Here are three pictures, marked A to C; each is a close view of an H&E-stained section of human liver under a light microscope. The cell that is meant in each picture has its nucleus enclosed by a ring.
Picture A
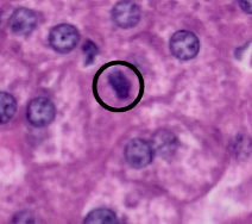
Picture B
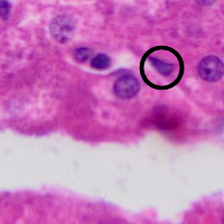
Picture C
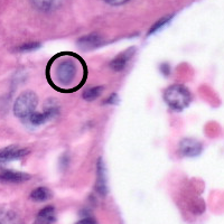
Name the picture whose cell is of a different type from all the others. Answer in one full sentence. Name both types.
Picture C differs, because its cell is a cholangiocyte and the rest are “fibroblasts or stellate cells”.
